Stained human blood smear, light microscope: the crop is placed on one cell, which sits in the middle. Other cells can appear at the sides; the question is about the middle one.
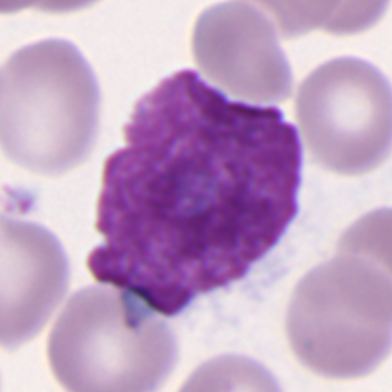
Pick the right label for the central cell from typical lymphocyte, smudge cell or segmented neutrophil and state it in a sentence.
The cell of interest, in the center, is a smudge cell.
